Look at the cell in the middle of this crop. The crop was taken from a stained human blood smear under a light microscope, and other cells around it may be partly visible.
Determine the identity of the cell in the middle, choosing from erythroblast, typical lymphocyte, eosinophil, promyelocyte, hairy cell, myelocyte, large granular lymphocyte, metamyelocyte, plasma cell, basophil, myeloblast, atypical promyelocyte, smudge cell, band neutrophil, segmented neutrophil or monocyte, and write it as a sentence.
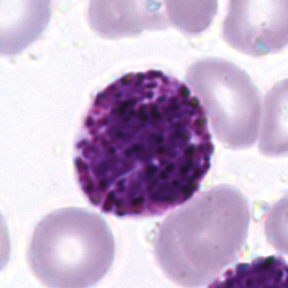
The cell at the middle of the crop is recognized as a basophil.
